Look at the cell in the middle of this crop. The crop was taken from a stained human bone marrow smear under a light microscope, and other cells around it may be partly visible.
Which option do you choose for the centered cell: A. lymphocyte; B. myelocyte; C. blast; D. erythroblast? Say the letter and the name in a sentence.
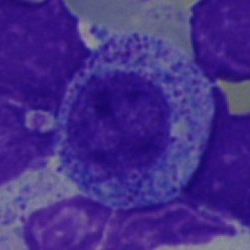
Identified correctly by option B, the cell in the middle is a myelocyte.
